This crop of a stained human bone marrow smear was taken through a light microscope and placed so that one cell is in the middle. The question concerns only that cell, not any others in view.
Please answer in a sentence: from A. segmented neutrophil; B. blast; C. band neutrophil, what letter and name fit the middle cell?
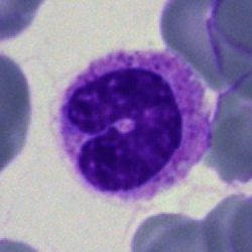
Option C is correct, and the cell in the centre is a band neutrophil.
